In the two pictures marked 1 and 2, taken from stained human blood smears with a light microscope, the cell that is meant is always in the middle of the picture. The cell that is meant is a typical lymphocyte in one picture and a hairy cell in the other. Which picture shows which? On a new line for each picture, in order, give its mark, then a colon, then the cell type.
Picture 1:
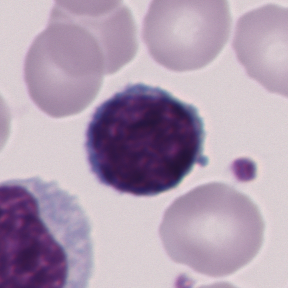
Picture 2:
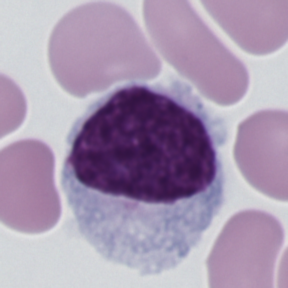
1: typical lymphocyte
2: hairy cell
